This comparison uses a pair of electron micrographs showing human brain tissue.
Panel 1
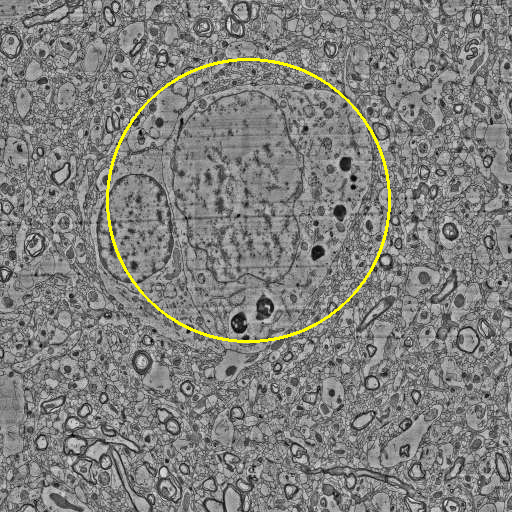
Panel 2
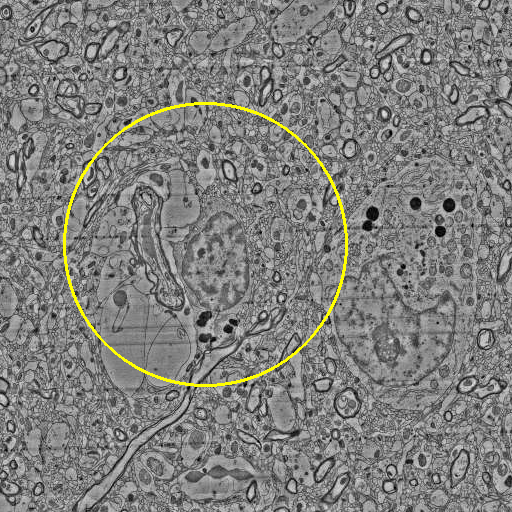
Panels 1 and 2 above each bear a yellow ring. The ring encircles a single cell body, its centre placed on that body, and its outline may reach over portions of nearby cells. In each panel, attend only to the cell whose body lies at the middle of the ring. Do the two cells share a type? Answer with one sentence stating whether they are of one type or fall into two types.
In Panel 1 and Panel 2, the cells at the centres of the rings fall into two types.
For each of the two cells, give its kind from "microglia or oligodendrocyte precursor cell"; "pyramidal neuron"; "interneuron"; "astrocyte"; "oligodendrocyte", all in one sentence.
The first picture has a pyramidal neuron in its ring, the second has an oligodendrocyte.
